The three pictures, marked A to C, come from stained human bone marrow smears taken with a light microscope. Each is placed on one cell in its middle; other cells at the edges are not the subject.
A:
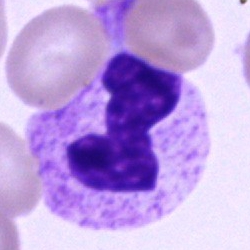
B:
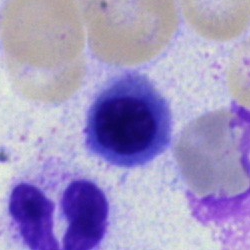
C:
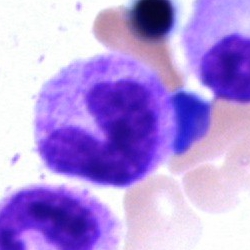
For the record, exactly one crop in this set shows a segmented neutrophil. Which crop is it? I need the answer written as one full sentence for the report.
It is in crop A, among all the crops, that a segmented neutrophil is present.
